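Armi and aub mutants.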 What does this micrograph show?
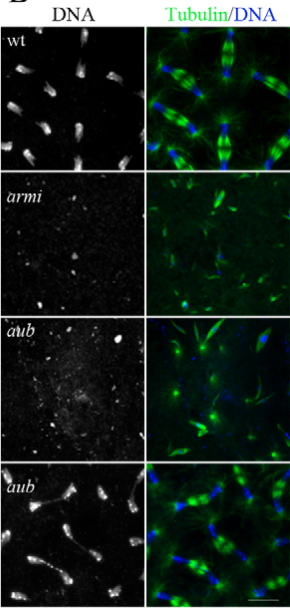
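In the top row, many spindles in a regular array pull pairs of compact blue chromatin masses cleanly apart toward their poles. In the two middle rows, spindles are small, scattered and disordered, and the blue chromatin is reduced to tiny scattered dots. In the bottom row, spindles are again arrayed, but the separating chromatin masses stay joined by thin blue threads stretching between the poles.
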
